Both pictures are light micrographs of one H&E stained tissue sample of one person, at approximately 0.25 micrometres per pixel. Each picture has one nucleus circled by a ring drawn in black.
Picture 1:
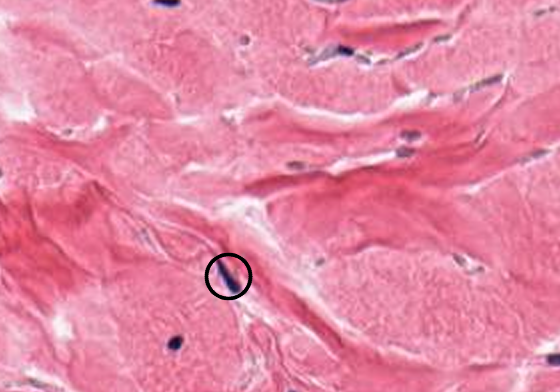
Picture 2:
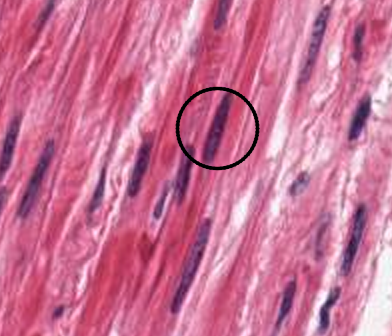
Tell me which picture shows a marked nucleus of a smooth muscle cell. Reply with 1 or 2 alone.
2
